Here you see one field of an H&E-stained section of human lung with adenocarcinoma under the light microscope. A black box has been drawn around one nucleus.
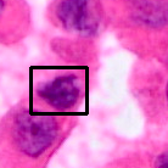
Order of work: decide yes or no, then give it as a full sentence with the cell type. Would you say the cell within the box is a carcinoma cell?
Yes, in terms of cell type, the cell within the box is a carcinoma cell.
